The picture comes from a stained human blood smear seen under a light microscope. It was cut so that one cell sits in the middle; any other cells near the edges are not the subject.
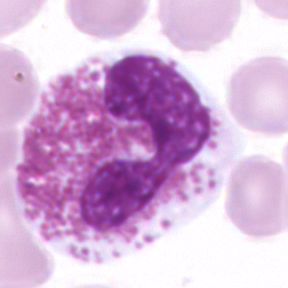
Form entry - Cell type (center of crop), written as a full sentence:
The cell marked by its central position in the crop is an eosinophil.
